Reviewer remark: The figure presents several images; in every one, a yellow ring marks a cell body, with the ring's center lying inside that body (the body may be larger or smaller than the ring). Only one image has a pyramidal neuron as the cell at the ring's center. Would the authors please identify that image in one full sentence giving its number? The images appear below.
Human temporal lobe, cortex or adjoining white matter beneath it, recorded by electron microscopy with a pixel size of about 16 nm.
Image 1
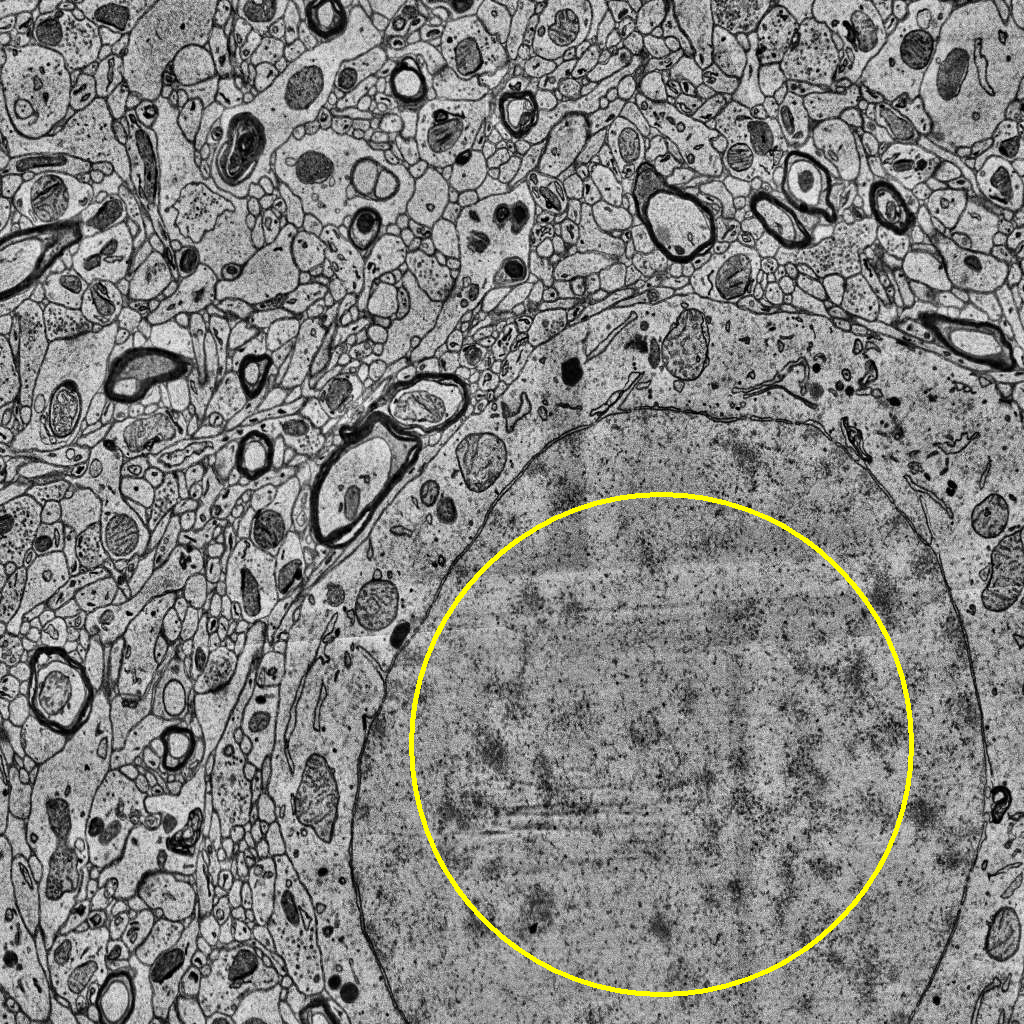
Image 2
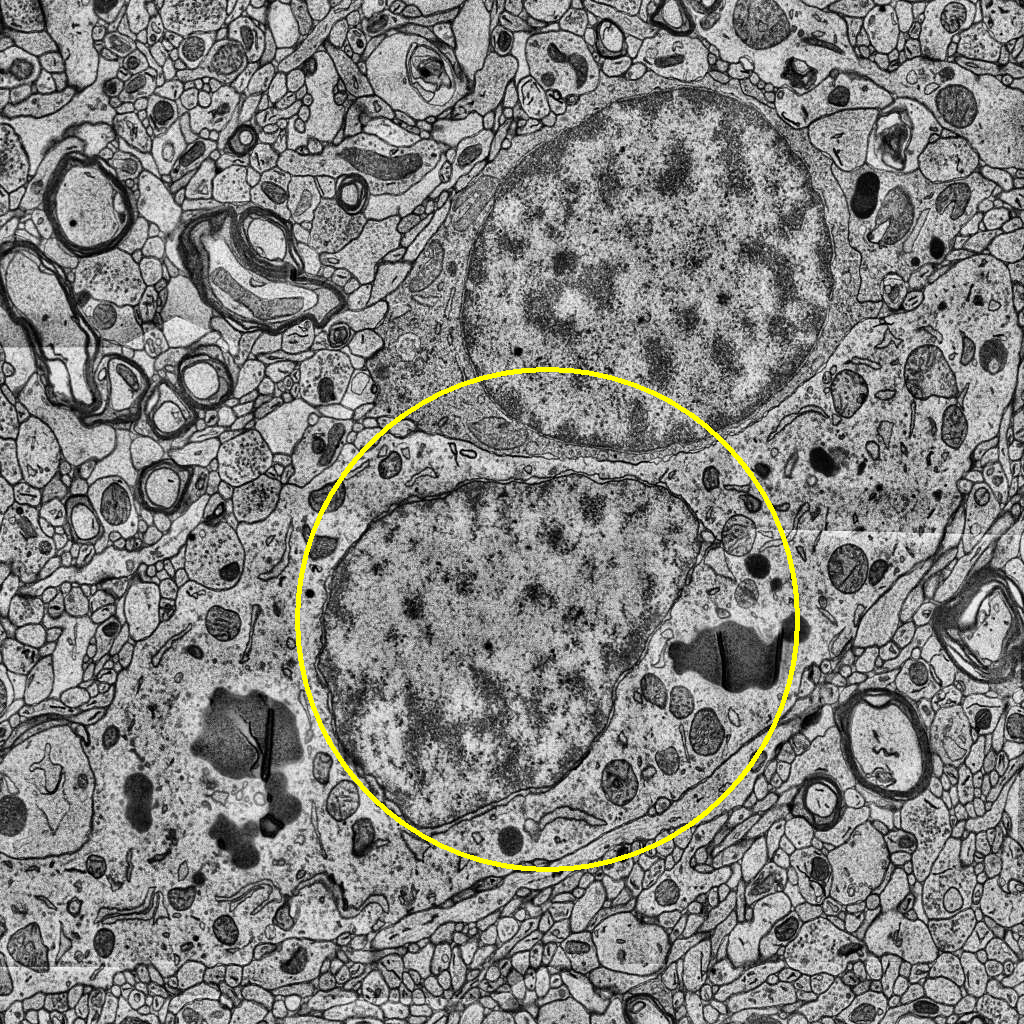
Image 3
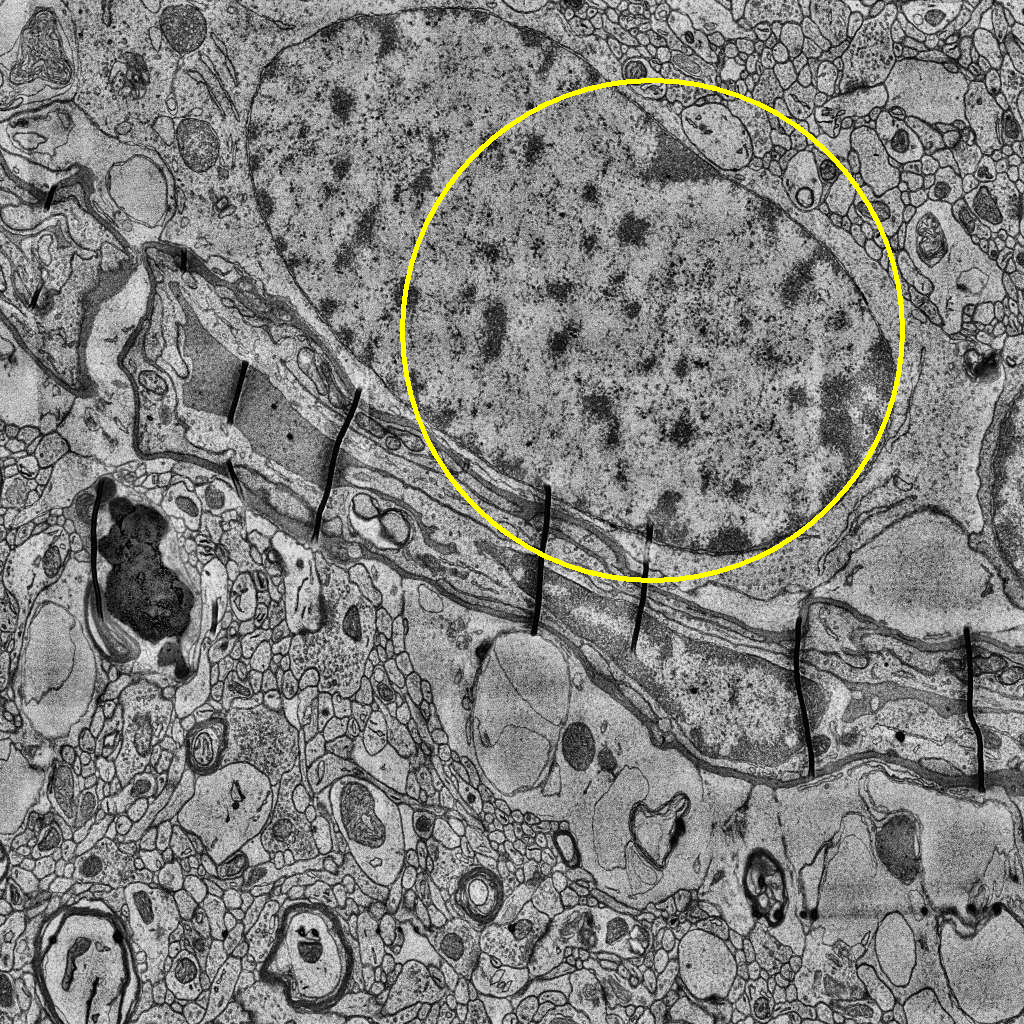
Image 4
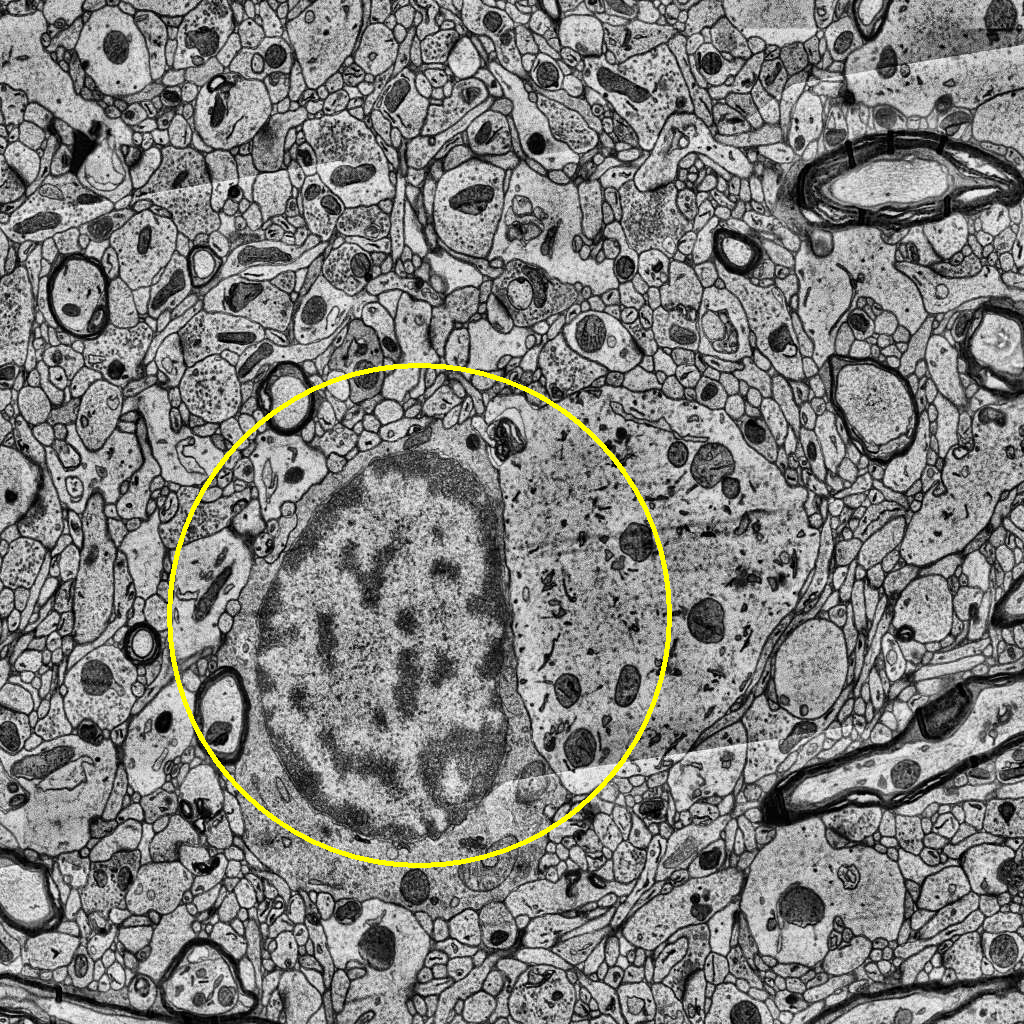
The cell at the ring's center in image 1 is the one the question describes.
